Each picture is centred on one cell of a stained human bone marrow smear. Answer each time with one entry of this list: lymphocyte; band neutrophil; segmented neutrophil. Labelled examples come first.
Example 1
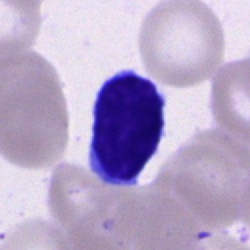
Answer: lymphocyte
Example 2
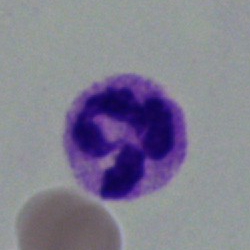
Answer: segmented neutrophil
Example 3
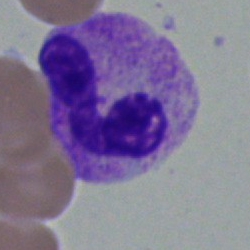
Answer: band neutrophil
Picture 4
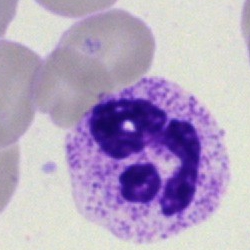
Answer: segmented neutrophil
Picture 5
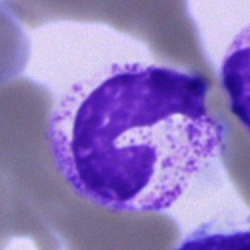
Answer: band neutrophil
